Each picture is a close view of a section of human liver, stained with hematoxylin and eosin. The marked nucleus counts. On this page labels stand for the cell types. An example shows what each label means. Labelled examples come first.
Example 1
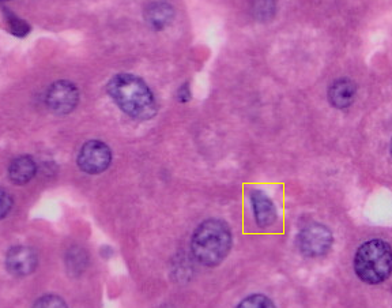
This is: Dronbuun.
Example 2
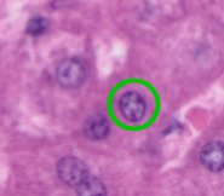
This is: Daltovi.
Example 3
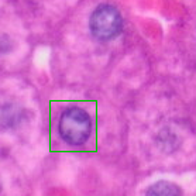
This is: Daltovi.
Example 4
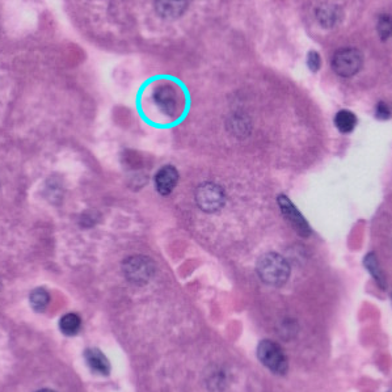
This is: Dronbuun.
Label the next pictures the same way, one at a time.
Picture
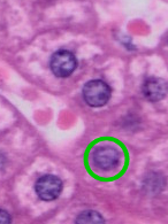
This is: Daltovi.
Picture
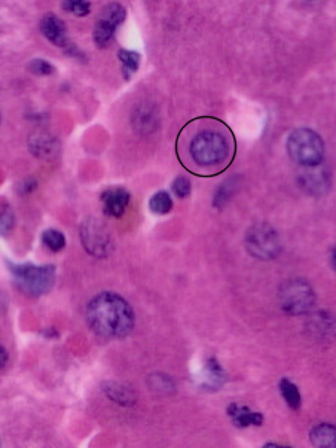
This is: Daltovi.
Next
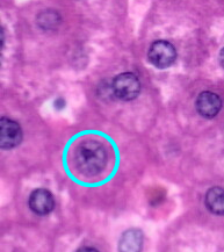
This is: Daltovi.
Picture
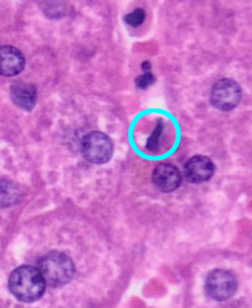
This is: Dronbuun.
